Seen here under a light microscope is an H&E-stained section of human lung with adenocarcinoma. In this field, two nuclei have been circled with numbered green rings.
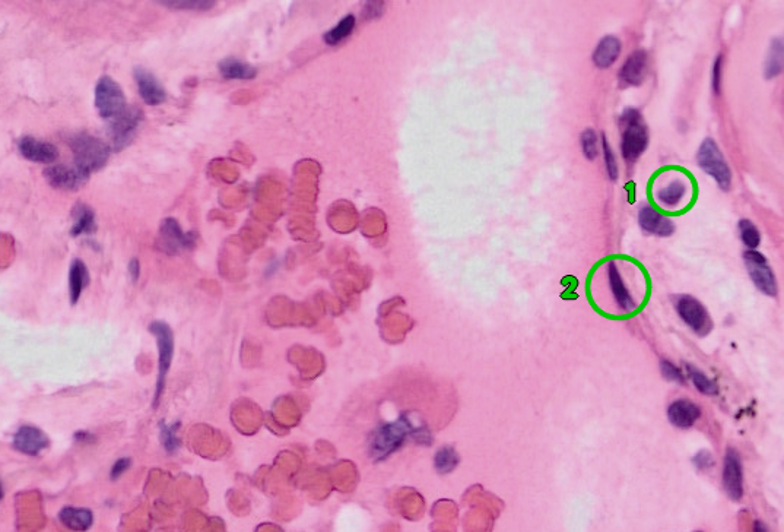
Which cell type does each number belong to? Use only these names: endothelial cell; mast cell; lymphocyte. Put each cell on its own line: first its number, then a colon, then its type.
1: lymphocyte
2: endothelial cell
